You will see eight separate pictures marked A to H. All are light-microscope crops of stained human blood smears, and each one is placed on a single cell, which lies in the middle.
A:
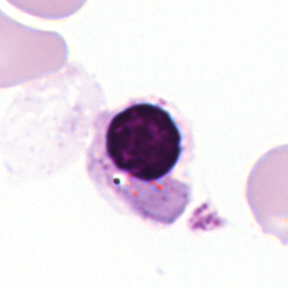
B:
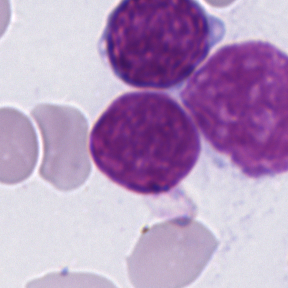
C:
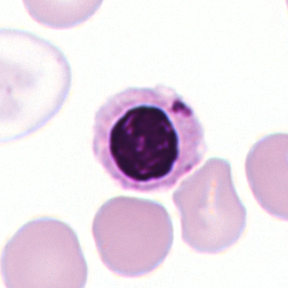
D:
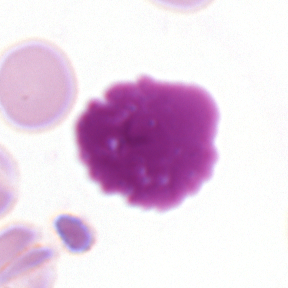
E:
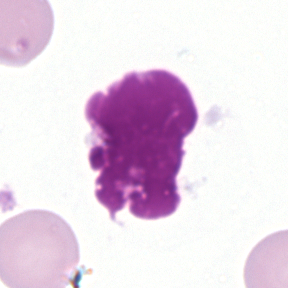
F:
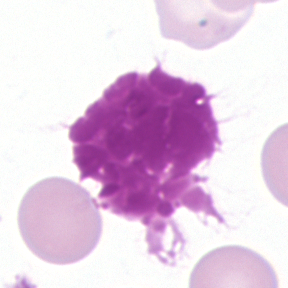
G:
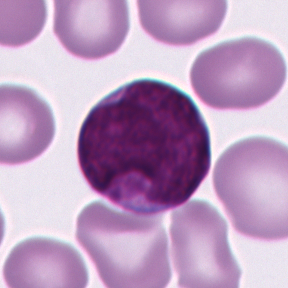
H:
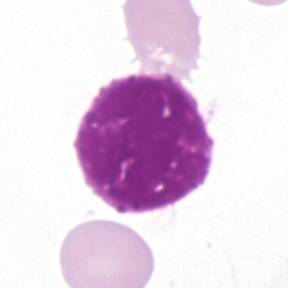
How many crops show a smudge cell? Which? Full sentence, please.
Crops D, E, F and H show smudge cells, making four in all.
